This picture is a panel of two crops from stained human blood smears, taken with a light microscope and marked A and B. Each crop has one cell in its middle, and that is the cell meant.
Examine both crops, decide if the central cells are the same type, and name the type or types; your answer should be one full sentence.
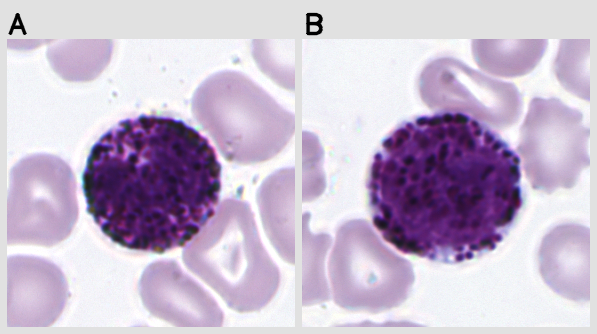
Yes, the centred cells are basophils in both crops.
